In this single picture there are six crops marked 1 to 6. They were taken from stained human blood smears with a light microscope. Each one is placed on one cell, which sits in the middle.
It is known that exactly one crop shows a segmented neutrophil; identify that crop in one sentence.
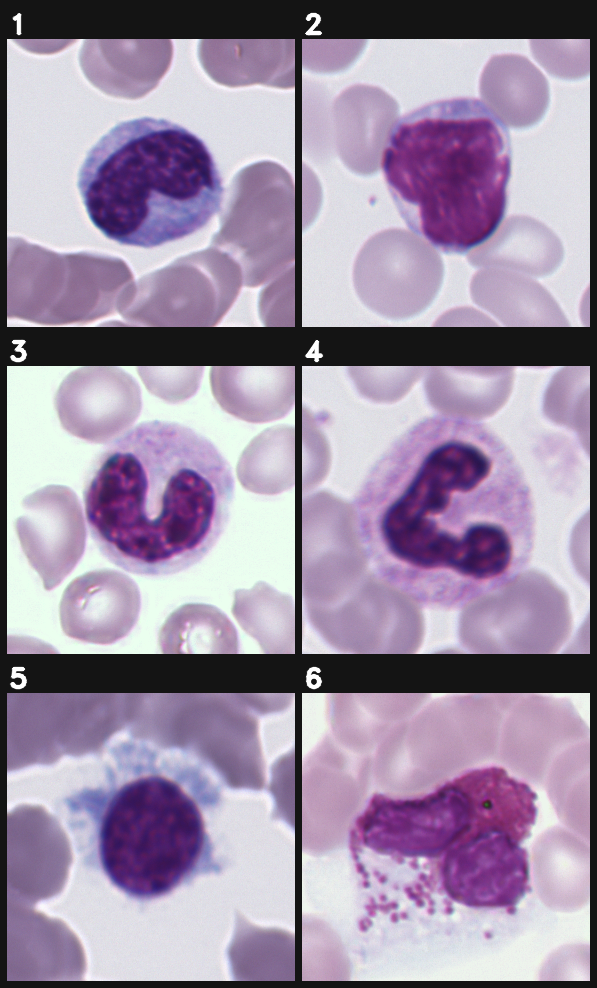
Of these crops, it is crop 4 that shows a segmented neutrophil.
